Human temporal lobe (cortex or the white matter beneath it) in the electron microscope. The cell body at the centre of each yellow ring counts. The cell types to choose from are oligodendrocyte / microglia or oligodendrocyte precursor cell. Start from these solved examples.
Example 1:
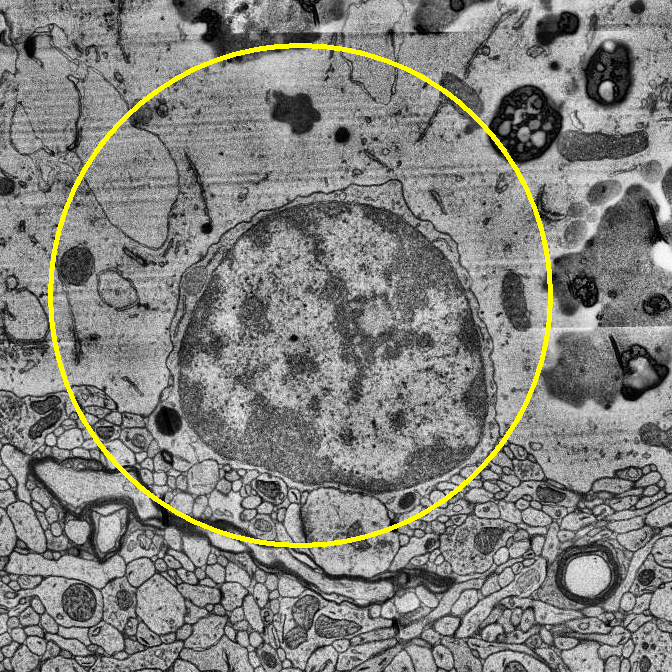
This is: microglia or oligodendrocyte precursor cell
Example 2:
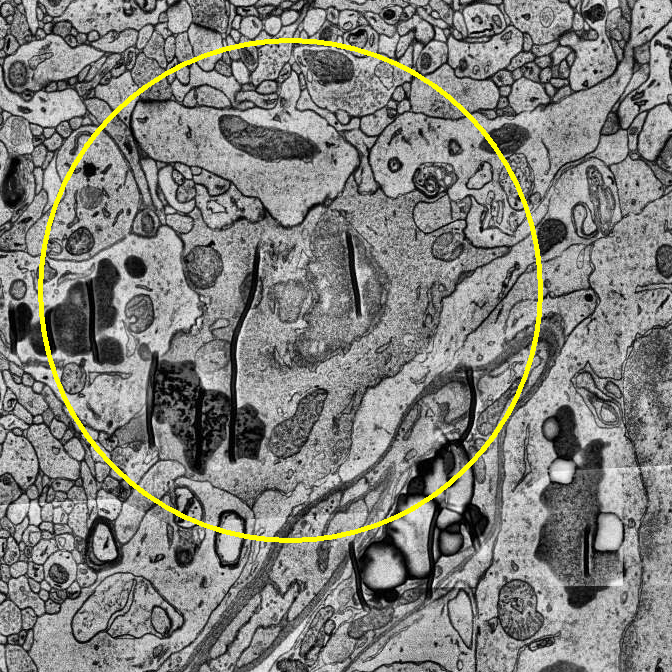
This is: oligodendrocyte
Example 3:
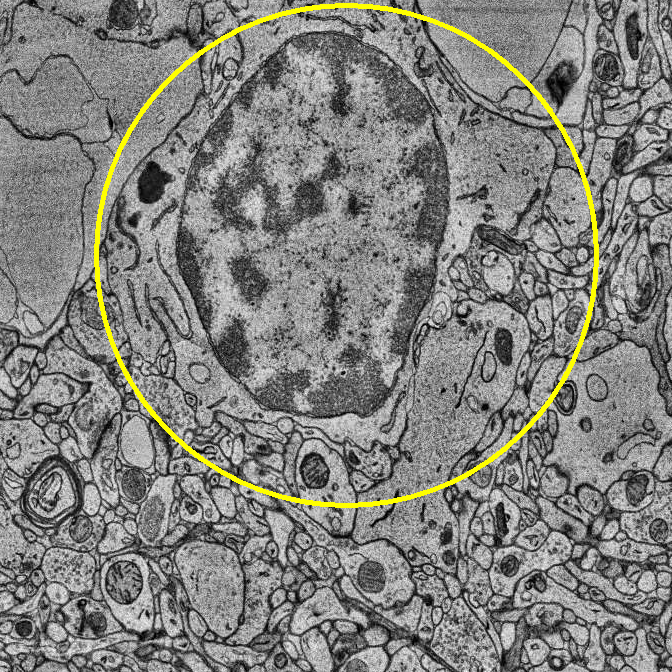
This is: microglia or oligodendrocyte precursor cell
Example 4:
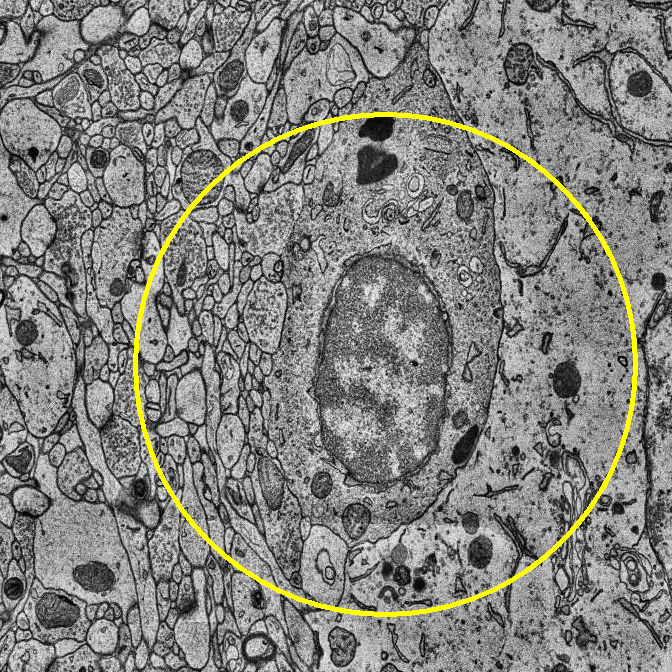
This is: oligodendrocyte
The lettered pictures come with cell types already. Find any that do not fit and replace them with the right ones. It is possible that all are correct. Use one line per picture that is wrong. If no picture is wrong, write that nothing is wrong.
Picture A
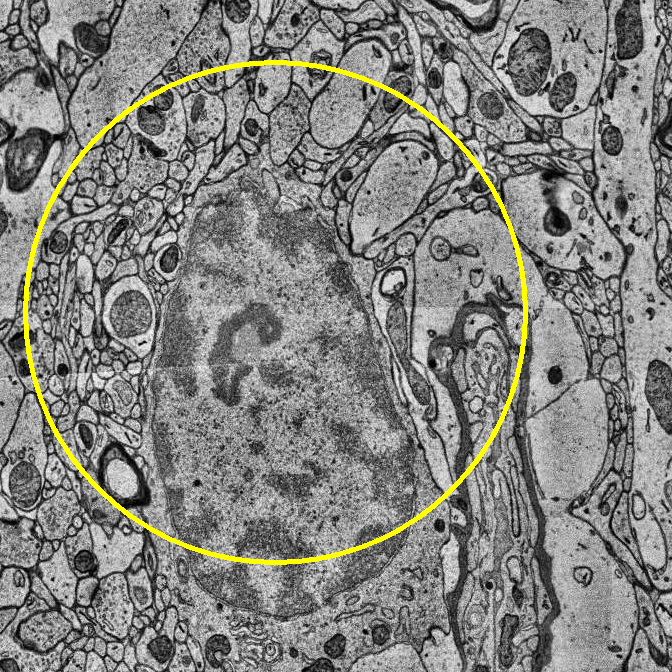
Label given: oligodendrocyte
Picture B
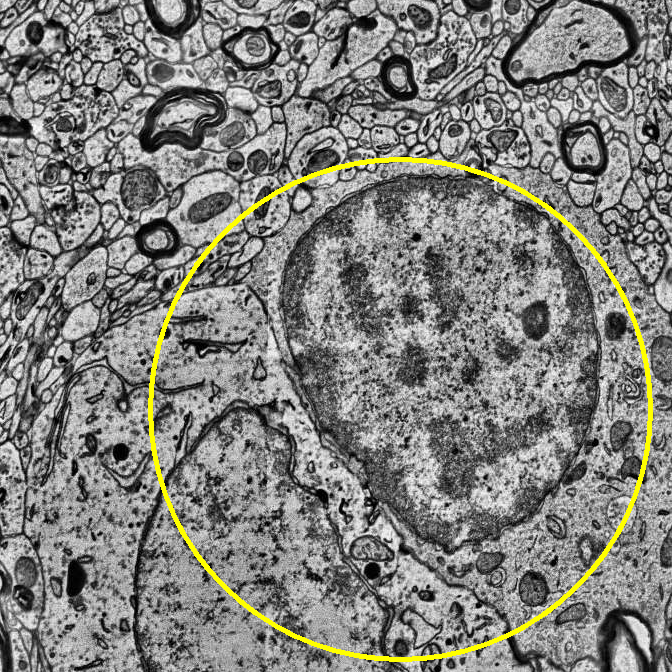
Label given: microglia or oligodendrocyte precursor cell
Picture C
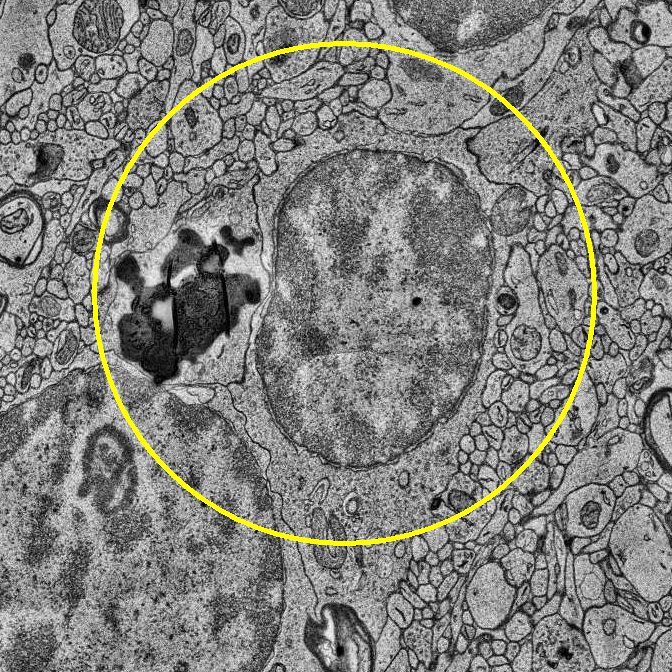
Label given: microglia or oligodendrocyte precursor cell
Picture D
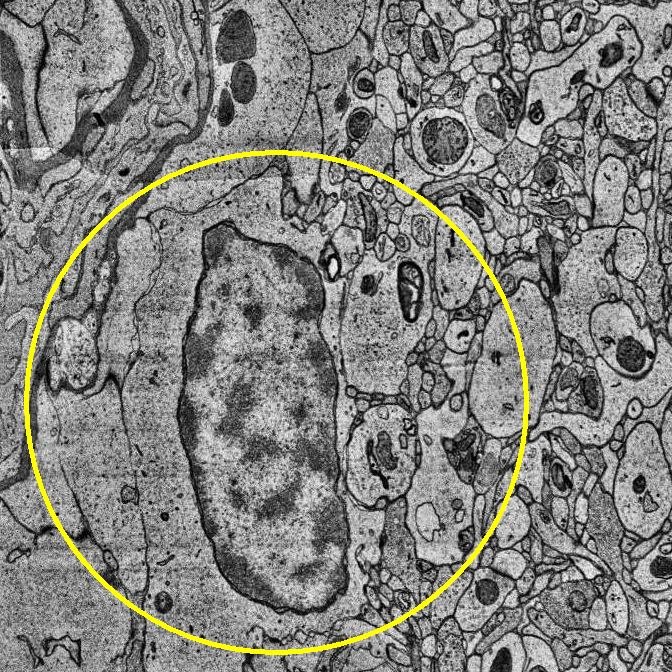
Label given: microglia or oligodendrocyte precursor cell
B: change microglia or oligodendrocyte precursor cell to oligodendrocyte
C: change microglia or oligodendrocyte precursor cell to oligodendrocyte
